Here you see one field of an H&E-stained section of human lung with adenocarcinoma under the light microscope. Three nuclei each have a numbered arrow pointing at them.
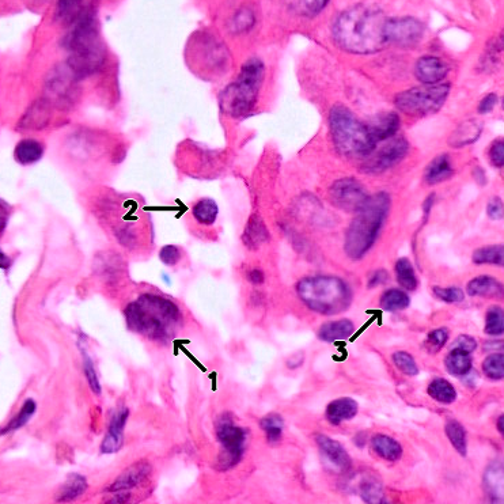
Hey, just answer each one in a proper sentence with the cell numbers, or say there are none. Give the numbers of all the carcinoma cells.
Cell 1 is a carcinoma cell, while every other numbered cell is not.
